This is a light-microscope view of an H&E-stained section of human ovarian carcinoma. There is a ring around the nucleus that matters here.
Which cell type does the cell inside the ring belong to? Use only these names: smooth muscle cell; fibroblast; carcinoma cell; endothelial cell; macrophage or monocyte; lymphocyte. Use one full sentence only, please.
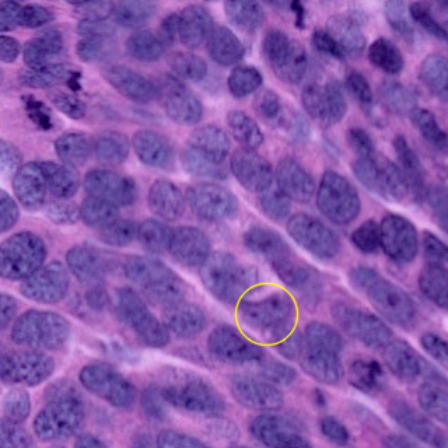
For cell typing purposes, the cell inside the ring is a carcinoma cell.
